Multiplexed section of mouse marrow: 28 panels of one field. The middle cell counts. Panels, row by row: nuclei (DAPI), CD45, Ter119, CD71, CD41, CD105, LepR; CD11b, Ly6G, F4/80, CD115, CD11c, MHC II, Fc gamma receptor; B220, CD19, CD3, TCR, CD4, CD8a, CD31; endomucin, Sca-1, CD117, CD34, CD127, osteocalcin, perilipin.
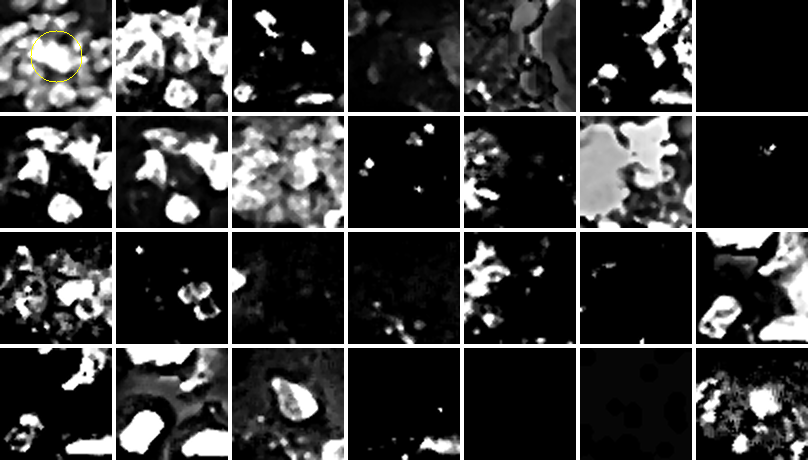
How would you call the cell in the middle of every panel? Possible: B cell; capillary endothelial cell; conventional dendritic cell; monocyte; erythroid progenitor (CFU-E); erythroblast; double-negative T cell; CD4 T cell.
I would call it an erythroid progenitor (CFU-E).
